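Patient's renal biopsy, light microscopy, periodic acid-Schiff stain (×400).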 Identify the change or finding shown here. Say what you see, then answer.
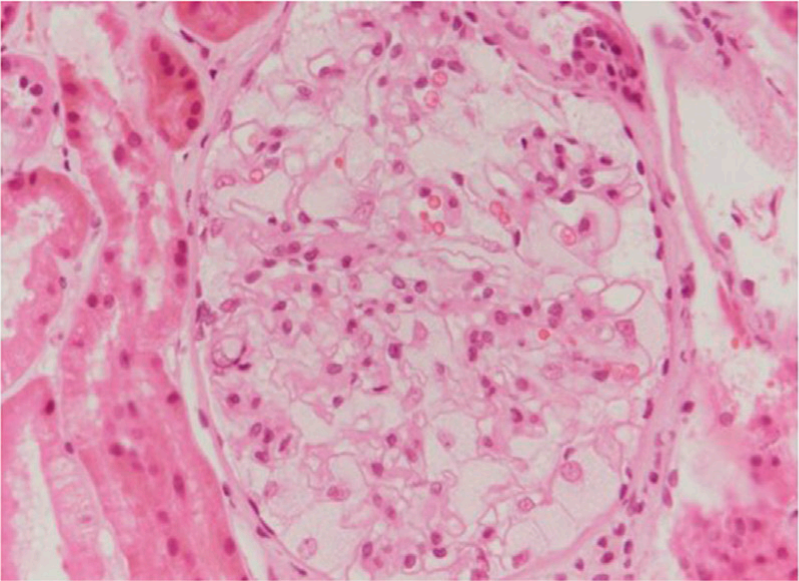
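Foamy cytoplasm. The large round tuft in the centre is filled with pale, bubbly, vacuolated cytoplasm. Many clear spaces separate the thin pink strands and nuclei within the tuft. The surrounding tubules have dense, solid pink cytoplasm without such vacuoles.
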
